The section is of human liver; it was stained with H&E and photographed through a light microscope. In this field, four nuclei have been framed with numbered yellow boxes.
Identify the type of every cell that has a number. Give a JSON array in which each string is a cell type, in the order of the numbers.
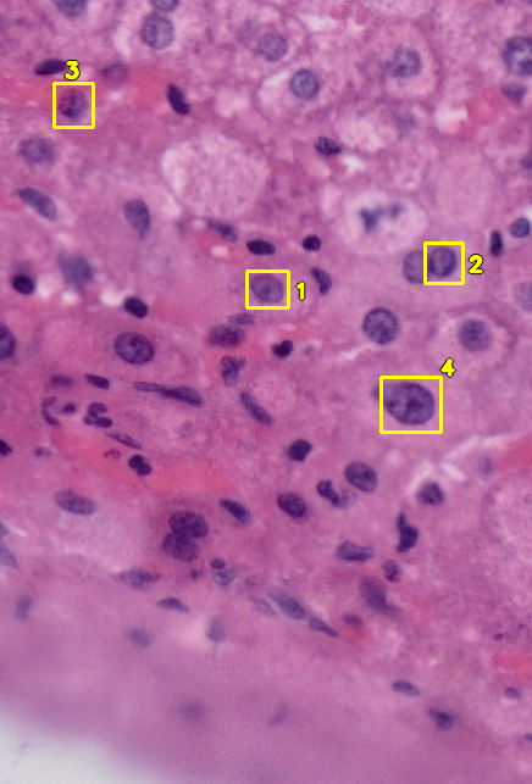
["hepatocyte", "hepatocyte", "endothelial cell", "hepatocyte"]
